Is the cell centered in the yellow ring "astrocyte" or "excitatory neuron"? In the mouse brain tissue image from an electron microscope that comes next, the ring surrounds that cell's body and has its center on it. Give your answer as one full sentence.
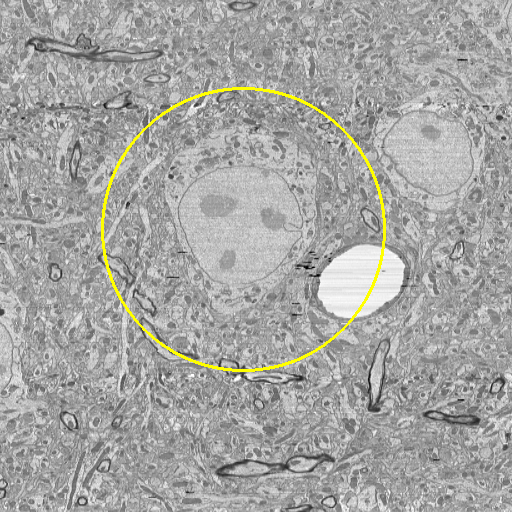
The cell at the center of the yellow ring is an excitatory neuron in the micrograph.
